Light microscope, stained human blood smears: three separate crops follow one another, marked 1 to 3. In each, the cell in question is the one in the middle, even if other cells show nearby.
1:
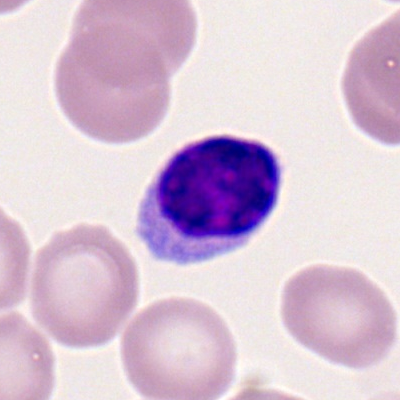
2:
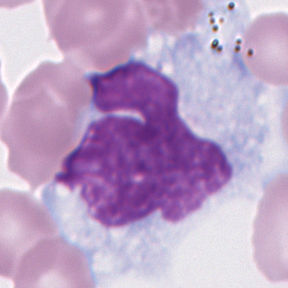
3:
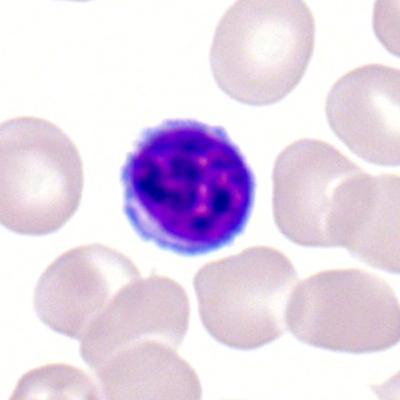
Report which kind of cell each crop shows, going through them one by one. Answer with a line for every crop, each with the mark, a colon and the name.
1: lymphocyte
2: monocyte
3: lymphocyte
